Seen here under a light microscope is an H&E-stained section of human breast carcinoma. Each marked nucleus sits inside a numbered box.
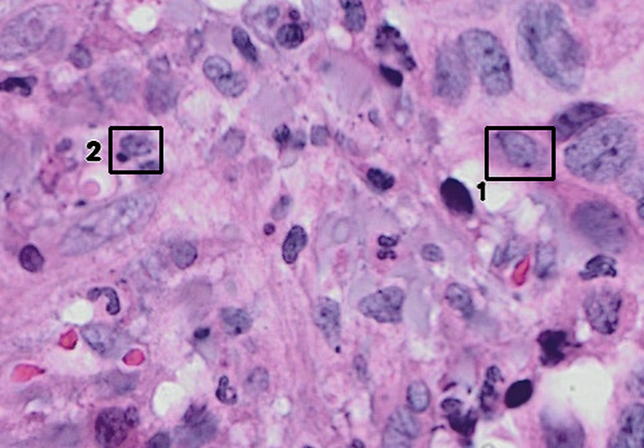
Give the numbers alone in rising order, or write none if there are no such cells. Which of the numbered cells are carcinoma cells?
1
